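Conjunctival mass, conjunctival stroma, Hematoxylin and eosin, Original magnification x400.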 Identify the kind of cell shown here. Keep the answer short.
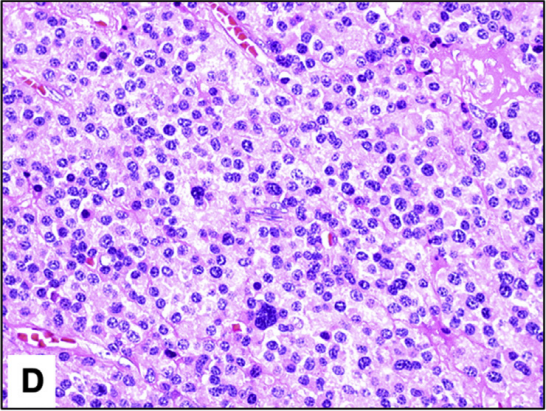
Plasma cells.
